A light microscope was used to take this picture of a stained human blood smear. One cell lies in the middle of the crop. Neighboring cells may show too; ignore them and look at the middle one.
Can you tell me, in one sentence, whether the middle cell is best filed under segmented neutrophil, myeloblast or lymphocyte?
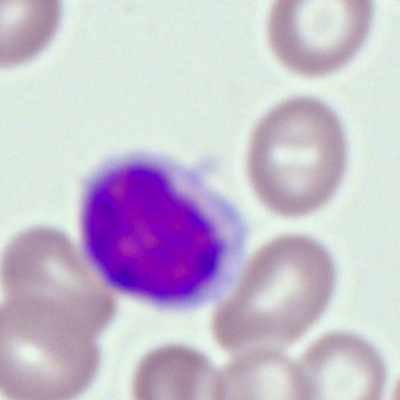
The identification for the central cell is a lymphocyte.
